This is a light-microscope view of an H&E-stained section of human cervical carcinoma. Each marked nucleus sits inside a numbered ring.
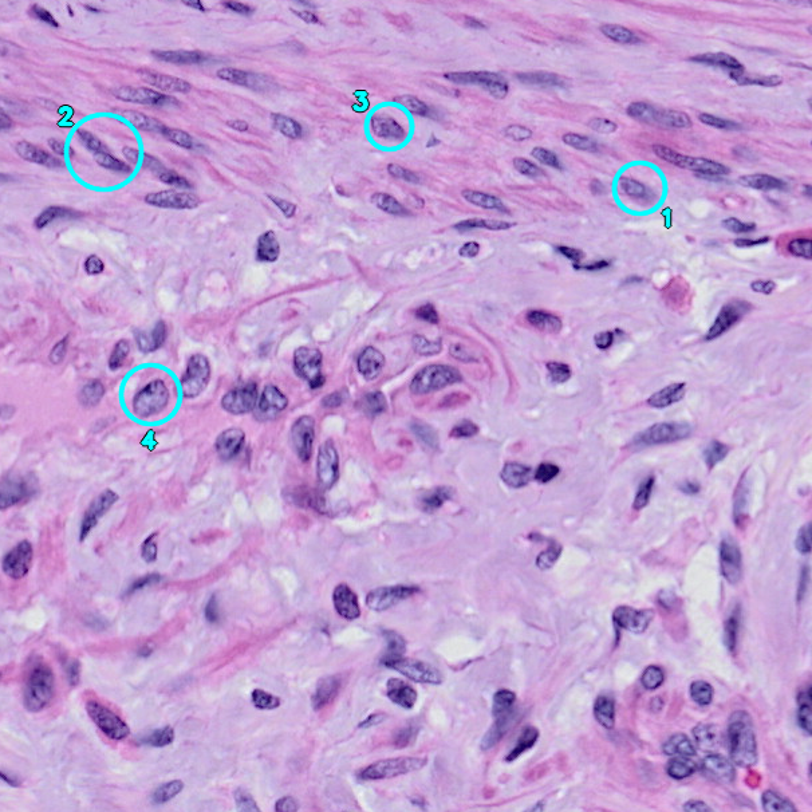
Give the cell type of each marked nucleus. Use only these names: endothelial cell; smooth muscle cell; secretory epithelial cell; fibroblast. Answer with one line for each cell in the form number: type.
1: smooth muscle cell
2: smooth muscle cell
3: smooth muscle cell
4: endothelial cell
